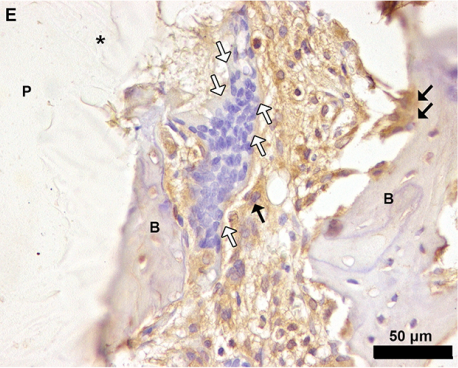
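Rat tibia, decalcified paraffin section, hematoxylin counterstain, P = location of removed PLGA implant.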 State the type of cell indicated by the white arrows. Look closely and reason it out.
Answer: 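Multinucleated cells. A cluster of many blue nuclei with little brown stain. It lies between bone and the implant space.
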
